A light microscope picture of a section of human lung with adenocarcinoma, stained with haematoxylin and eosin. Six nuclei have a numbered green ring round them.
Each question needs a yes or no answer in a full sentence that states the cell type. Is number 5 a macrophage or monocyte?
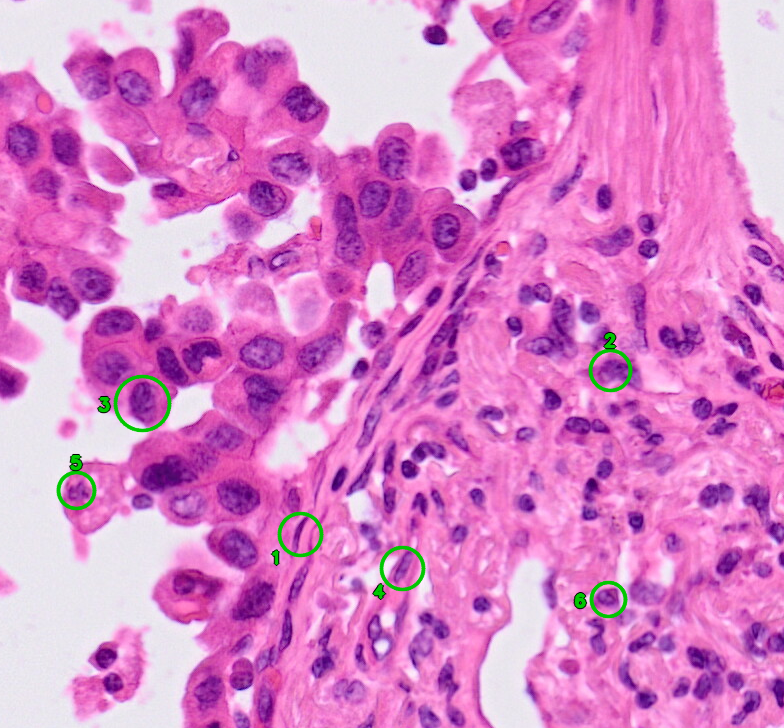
Yes, the one numbered 5 is a macrophage or monocyte.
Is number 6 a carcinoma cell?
No, cell number 6 is a plasma cell; it is not a carcinoma cell.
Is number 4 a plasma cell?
No, the cell tagged 4 is an endothelial cell, and not a plasma cell.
